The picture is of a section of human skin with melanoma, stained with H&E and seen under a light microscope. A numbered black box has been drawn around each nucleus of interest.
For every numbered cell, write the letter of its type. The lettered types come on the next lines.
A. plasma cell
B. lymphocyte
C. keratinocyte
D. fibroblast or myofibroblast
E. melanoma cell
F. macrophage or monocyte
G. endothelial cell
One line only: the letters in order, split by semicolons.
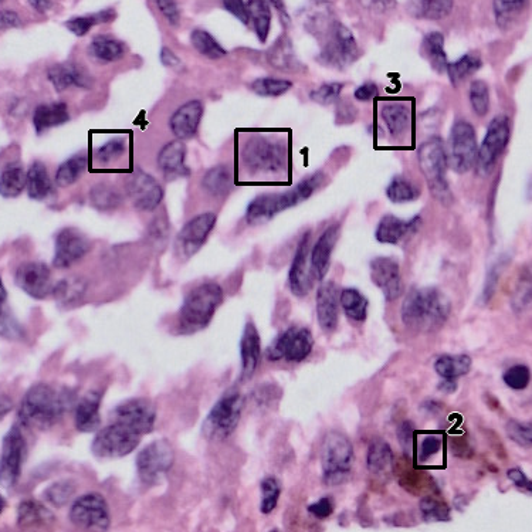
E; B; E; E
